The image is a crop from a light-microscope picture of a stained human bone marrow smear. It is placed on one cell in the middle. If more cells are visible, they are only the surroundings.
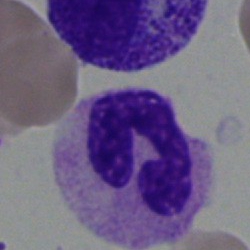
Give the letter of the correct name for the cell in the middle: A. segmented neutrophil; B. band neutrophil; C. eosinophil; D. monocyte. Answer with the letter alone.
A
